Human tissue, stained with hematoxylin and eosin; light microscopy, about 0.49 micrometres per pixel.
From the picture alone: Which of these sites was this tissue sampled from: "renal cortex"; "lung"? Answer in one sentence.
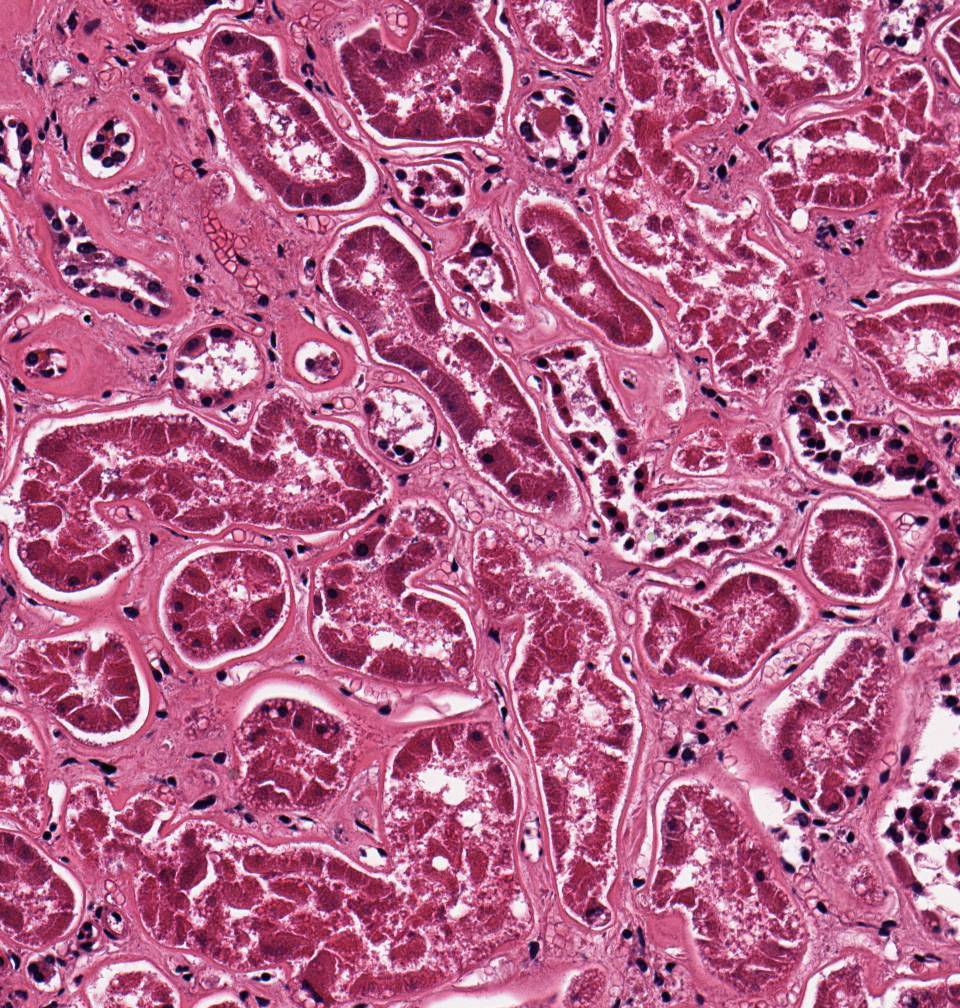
The site this tissue was sampled from is the renal cortex.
